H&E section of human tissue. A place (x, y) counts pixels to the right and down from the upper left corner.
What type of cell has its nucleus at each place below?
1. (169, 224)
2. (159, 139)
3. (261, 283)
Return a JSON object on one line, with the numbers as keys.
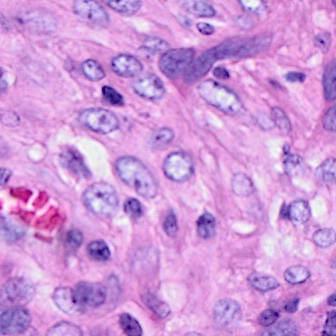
{"1": "macrophage or monocyte", "2": "fibroblast", "3": "fibroblast"}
